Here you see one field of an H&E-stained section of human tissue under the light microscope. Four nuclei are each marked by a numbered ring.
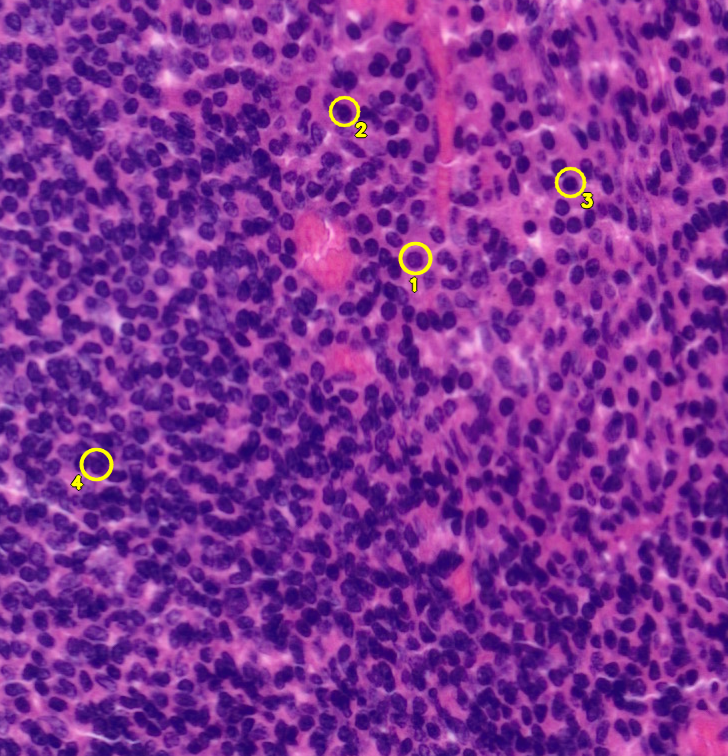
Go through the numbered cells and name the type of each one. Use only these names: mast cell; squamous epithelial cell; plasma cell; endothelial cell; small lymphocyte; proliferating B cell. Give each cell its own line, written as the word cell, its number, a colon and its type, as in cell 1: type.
cell 1: plasma cell
cell 2: plasma cell
cell 3: plasma cell
cell 4: small lymphocyte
